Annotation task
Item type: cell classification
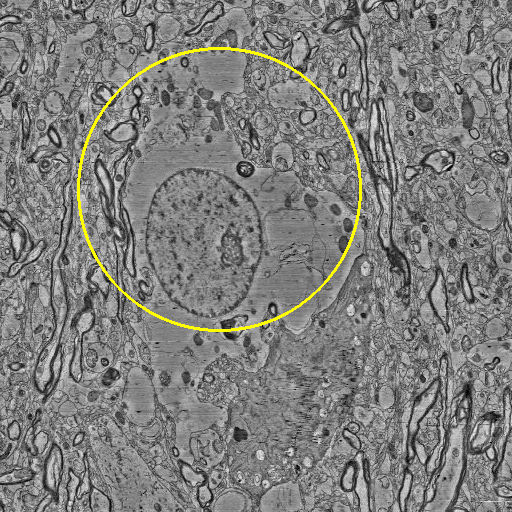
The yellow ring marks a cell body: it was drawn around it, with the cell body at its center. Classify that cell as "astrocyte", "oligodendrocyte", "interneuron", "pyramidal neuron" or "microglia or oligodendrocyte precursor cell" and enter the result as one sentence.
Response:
The ring's center falls on an astrocyte.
